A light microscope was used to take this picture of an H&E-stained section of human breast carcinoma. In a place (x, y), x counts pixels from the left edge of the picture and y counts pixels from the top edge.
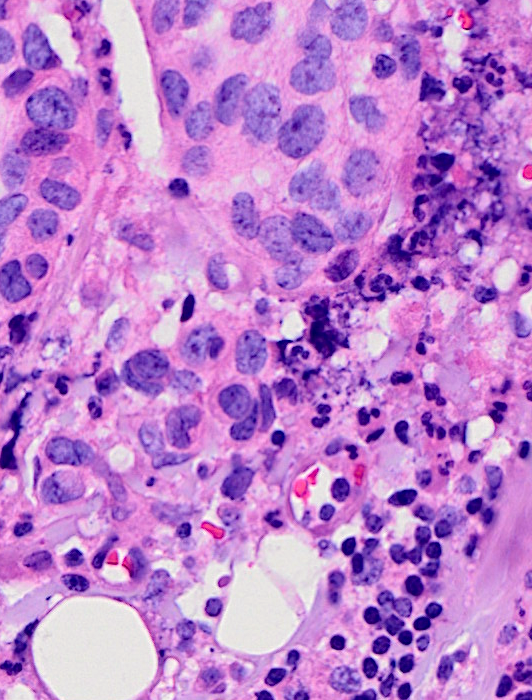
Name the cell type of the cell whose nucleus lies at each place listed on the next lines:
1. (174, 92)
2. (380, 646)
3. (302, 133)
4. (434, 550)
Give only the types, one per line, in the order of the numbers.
carcinoma cell
lymphocyte
carcinoma cell
lymphocyte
